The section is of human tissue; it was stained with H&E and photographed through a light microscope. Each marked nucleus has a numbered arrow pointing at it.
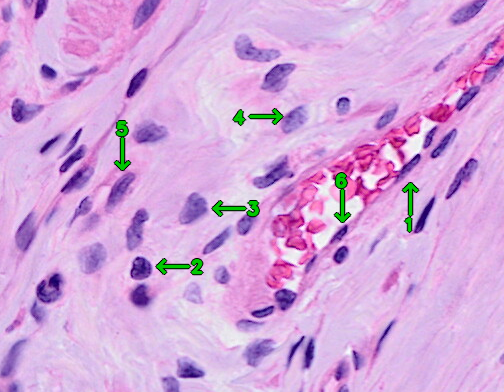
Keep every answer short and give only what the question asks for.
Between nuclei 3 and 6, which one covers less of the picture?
6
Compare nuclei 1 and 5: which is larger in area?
5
